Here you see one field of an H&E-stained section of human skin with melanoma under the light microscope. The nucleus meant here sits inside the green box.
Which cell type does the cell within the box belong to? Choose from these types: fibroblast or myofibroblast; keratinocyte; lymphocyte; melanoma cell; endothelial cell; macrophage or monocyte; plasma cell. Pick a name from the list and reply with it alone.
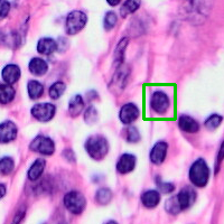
lymphocyte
